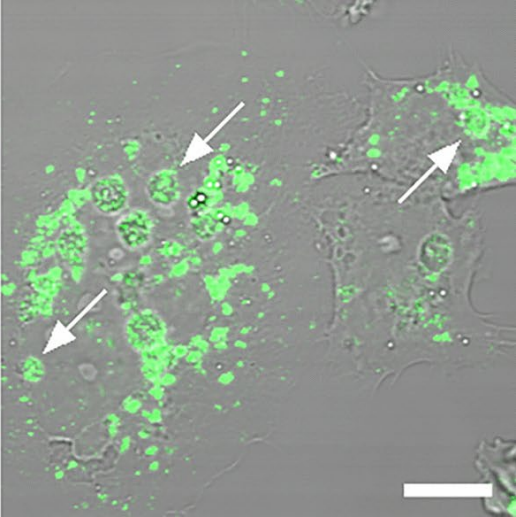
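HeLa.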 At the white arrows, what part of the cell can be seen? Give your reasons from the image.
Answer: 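The arrows point to round compartments visible in the grey transmitted-light image. Each marked compartment is filled with speckled green signal. Brighter, irregular green clumps lie scattered around the compartments.
Conclusion: vacuoles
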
